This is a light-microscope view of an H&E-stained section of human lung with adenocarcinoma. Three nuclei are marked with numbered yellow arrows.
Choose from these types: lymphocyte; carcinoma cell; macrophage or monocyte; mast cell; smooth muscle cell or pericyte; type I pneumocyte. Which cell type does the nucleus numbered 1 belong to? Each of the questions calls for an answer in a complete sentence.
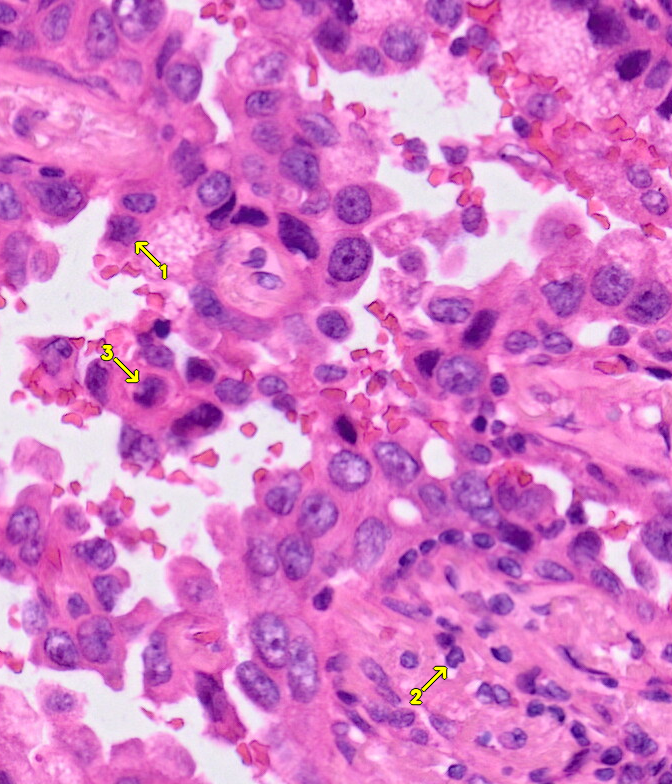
The cell identified by number 1 is a carcinoma cell.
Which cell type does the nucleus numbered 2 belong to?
The cell referenced by the number 2 is a lymphocyte in this field.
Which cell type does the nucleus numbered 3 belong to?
The cell identified by number 3 is a carcinoma cell.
